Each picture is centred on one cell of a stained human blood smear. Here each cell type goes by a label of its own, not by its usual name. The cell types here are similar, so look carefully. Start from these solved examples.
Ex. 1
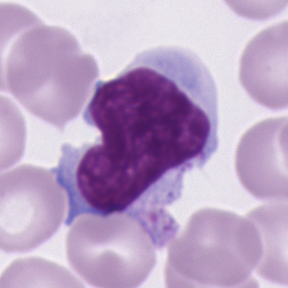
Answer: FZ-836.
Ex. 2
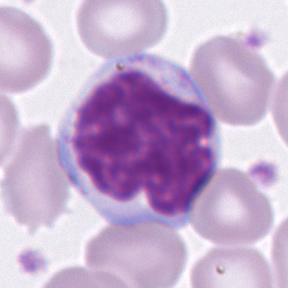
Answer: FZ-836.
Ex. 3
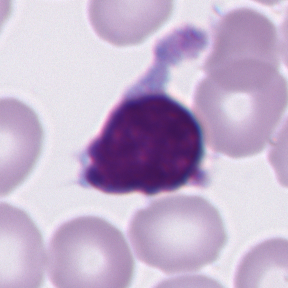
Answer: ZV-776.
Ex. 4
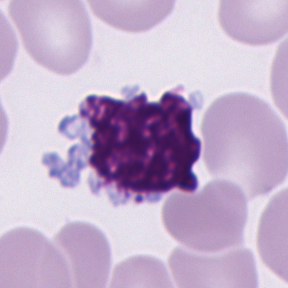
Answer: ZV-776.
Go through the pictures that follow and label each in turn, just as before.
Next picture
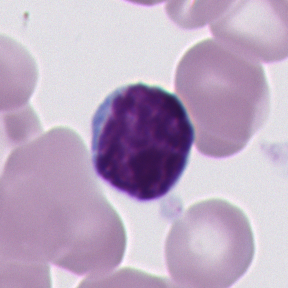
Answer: ZV-776.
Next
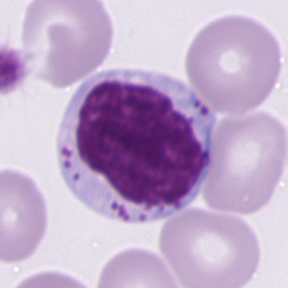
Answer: FZ-836.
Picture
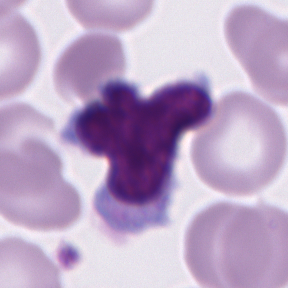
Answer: ZV-776.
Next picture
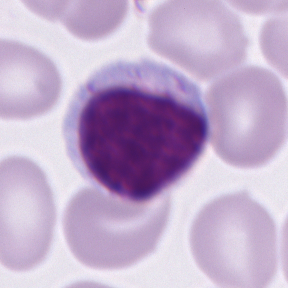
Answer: FZ-836.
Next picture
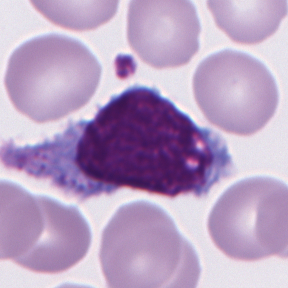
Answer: ZV-776.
